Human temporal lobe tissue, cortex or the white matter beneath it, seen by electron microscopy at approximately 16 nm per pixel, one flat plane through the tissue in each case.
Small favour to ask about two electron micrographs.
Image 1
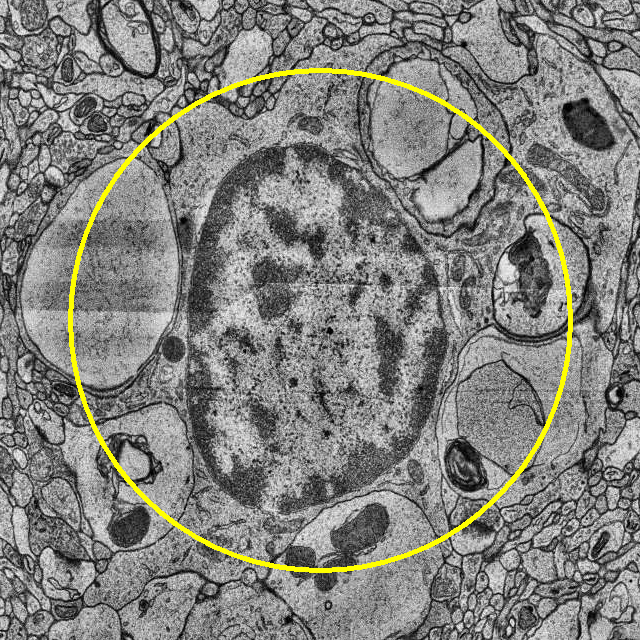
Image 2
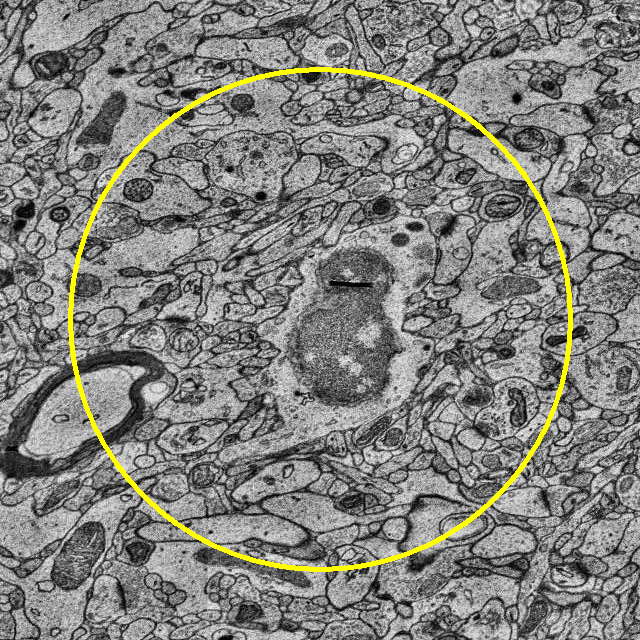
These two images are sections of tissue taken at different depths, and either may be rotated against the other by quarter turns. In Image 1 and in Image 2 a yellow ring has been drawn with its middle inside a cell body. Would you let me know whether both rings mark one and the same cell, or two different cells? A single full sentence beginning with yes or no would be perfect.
No, what the two rings mark is two different cells.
